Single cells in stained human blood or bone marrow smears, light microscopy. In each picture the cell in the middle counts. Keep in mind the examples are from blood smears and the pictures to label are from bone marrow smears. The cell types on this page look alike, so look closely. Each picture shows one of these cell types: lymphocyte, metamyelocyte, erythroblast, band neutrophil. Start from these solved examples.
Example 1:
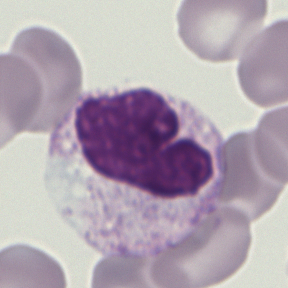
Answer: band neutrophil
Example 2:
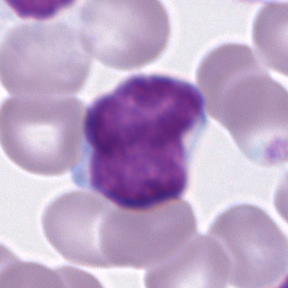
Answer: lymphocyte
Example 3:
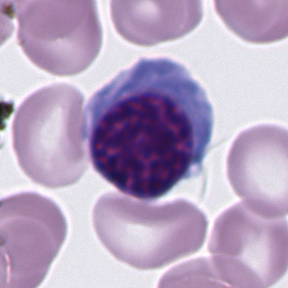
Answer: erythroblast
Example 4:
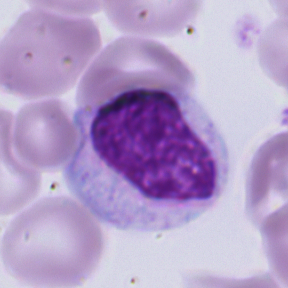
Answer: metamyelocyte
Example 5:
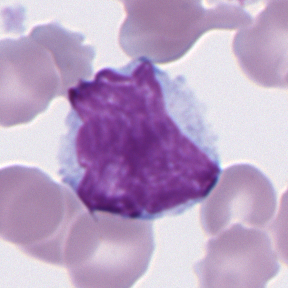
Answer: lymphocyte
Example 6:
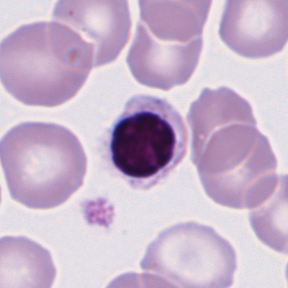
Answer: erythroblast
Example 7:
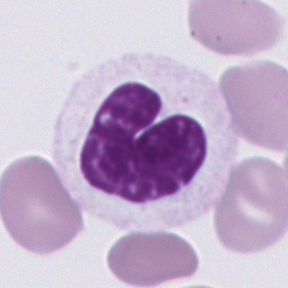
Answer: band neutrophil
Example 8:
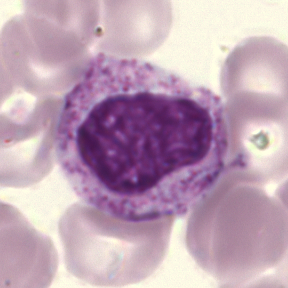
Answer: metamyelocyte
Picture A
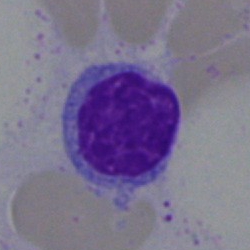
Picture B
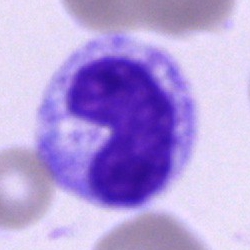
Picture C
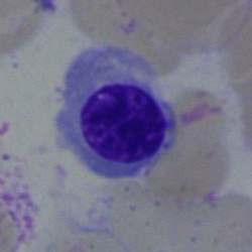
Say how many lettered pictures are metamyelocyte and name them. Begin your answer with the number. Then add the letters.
1, namely B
